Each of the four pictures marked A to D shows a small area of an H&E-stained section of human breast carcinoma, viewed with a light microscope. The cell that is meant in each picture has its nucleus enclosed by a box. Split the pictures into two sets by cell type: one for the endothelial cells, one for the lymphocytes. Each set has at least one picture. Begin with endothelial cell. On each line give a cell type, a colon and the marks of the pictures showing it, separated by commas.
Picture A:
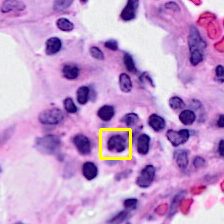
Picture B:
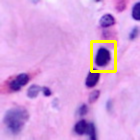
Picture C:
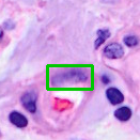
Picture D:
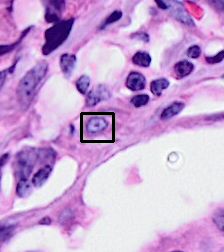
endothelial cell: C, D
lymphocyte: A, B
